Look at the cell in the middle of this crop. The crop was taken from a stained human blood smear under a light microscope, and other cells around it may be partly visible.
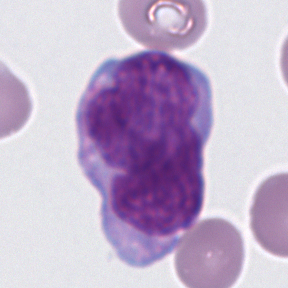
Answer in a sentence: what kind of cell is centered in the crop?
By classification, the middle cell of this crop is an atypical promyelocyte.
